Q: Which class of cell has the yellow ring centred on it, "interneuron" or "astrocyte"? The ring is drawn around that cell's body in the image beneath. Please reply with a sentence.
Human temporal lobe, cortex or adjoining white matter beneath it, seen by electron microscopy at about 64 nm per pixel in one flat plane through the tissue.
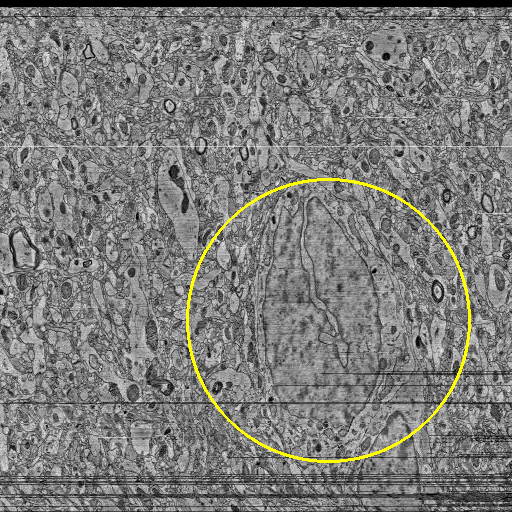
It is centred on an interneuron.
